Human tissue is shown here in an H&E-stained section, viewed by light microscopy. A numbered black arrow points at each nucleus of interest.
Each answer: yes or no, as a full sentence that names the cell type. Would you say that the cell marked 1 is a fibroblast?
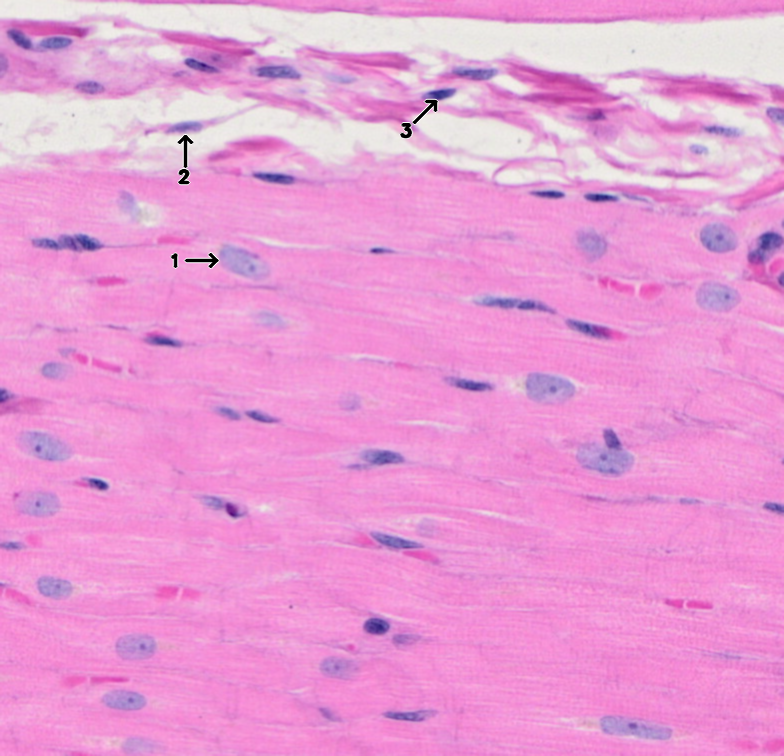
No, the cell given number 1 is a cardiomyocyte, as opposed to a fibroblast.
